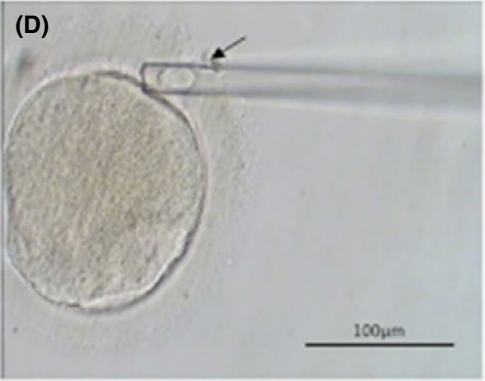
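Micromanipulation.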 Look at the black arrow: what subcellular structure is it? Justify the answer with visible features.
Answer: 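A small oval body sits inside the tip of a thin glass pipette. The pipette tip touches the edge of a large granular round cell.
Hence: polar body.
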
